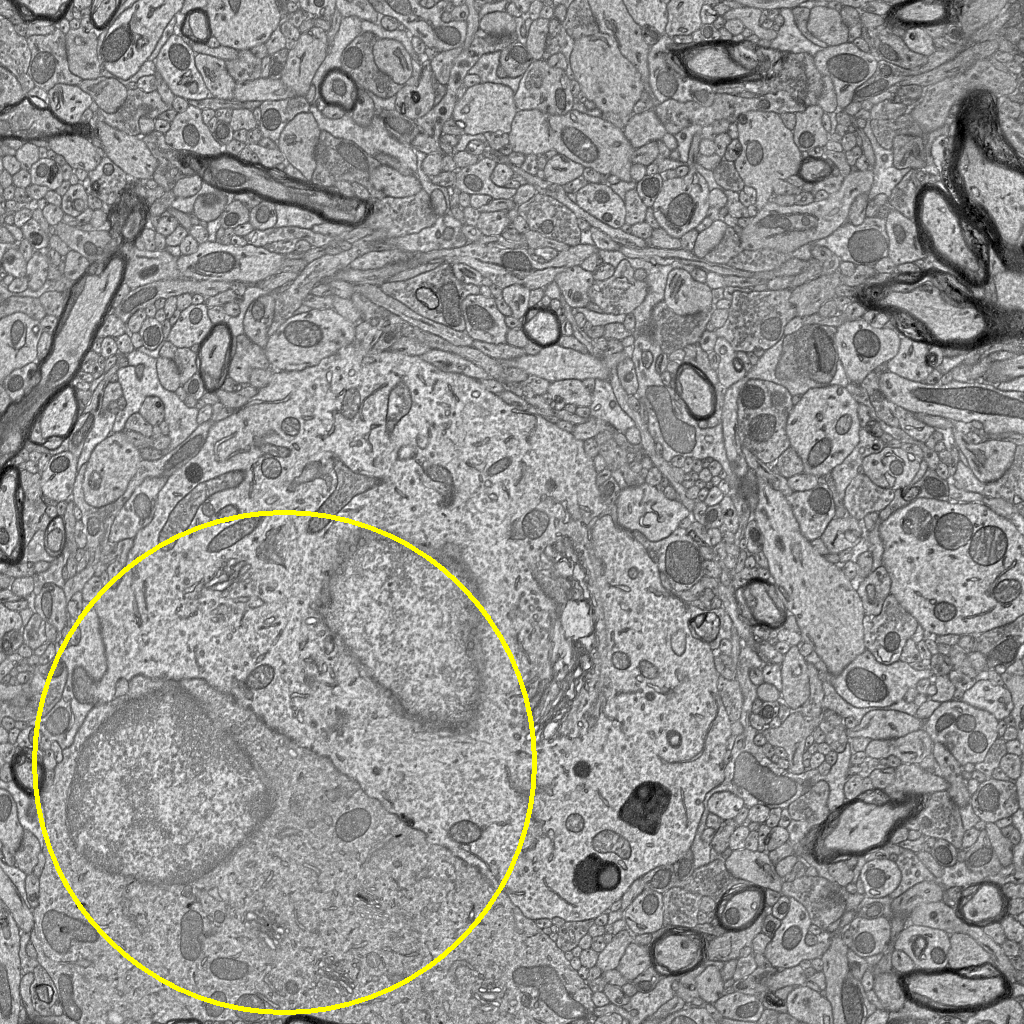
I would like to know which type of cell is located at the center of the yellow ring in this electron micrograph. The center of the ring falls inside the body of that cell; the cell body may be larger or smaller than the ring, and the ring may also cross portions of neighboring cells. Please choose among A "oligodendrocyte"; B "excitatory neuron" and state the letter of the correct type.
A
